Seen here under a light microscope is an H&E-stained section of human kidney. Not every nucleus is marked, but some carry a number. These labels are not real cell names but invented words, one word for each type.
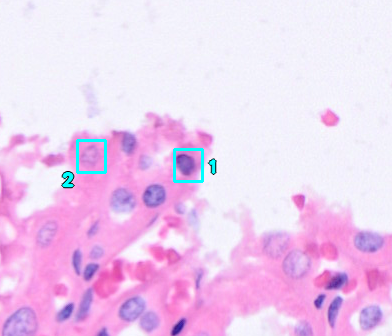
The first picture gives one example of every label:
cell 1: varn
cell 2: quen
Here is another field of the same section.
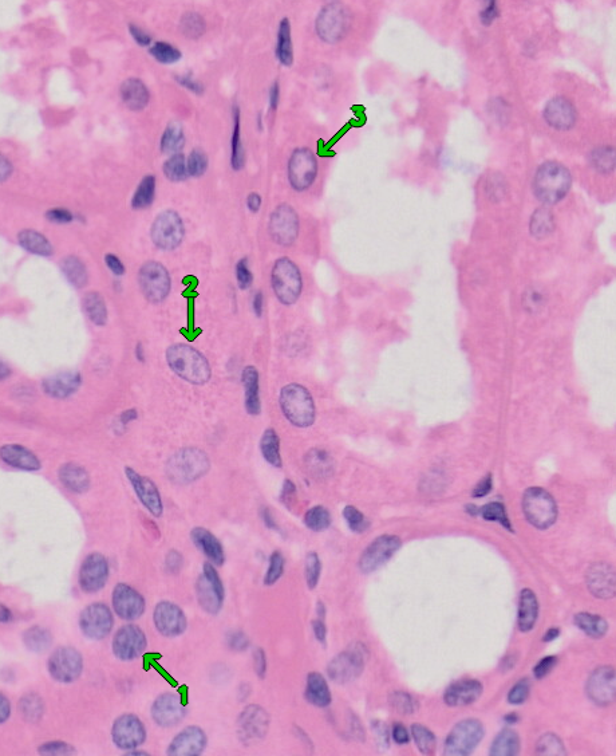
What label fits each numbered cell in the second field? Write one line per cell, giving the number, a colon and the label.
1: varn
2: quen
3: quen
